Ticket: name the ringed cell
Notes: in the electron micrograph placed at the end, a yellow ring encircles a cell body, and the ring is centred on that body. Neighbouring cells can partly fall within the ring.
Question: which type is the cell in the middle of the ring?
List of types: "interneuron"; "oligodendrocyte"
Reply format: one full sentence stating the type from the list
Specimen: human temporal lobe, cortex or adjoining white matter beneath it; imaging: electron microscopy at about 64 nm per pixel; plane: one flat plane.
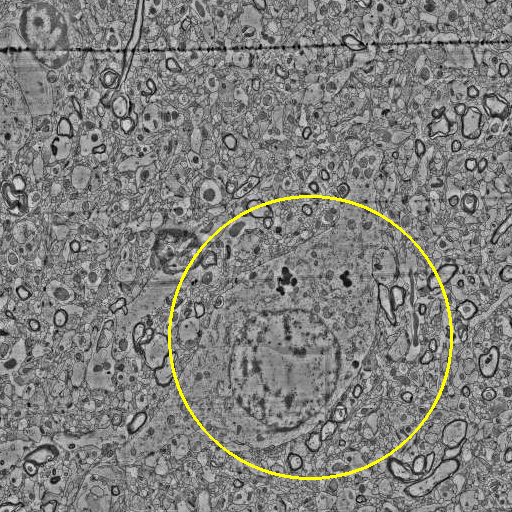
The cell sitting at the centre of the yellow ring is an interneuron.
